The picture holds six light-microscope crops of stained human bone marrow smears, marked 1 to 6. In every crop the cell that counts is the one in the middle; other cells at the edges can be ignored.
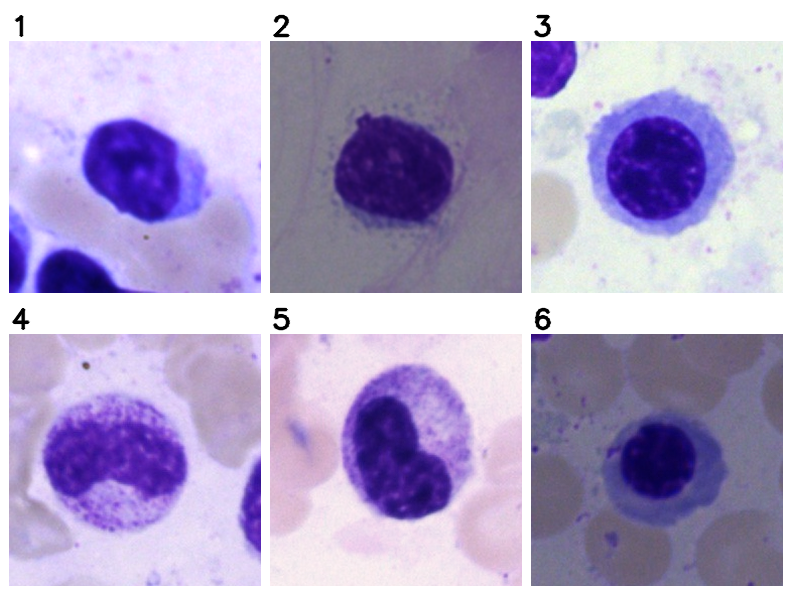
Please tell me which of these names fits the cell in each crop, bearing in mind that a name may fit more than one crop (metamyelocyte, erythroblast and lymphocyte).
1: lymphocyte
2: lymphocyte
3: erythroblast
4: metamyelocyte
5: metamyelocyte
6: erythroblast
